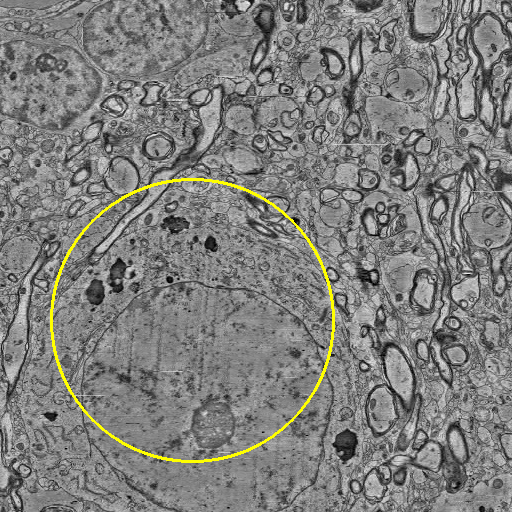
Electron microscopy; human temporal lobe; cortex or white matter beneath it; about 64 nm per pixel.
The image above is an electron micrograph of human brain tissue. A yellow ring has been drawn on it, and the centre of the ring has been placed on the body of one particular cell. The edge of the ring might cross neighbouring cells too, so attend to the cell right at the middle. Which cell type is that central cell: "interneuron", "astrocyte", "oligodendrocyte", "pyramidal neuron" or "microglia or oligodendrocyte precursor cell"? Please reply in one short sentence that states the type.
The central cell in the ring is a pyramidal neuron.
